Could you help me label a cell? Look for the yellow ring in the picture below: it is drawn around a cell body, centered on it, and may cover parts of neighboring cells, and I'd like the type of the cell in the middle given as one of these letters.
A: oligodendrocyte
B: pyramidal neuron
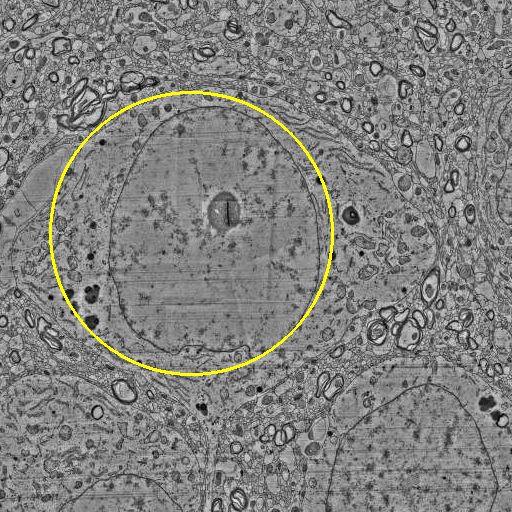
B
